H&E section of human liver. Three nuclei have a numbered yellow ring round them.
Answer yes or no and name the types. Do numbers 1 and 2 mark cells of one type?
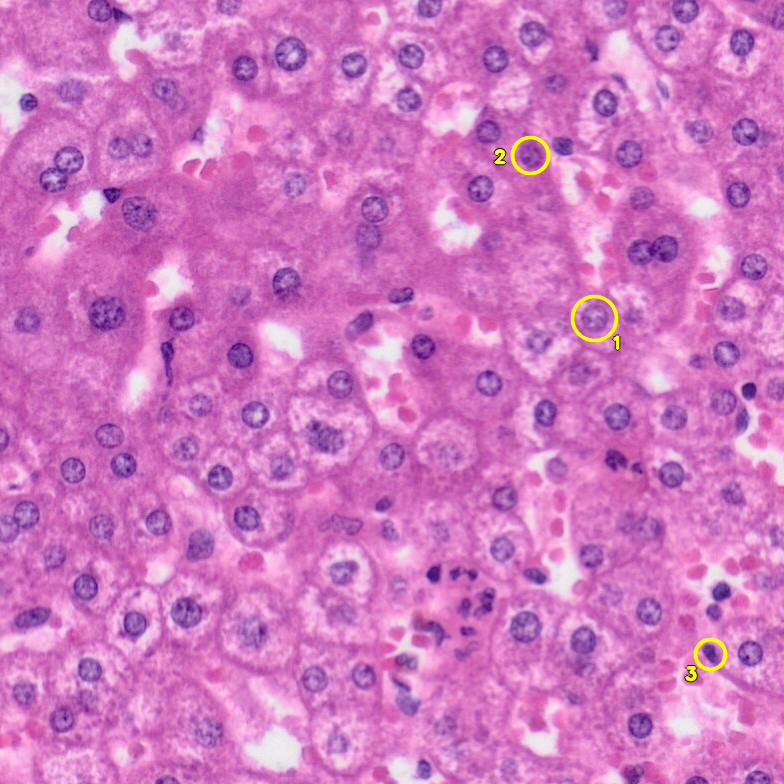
Yes, cells 1 and 2 are both identified as hepatocytes.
